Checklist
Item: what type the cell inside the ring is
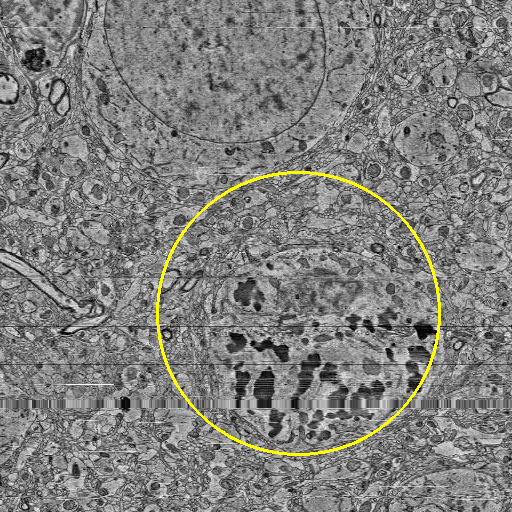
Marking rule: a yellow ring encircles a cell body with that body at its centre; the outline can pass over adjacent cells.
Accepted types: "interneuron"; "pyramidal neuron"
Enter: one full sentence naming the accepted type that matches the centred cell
The entry is that an interneuron lies at the centre of the yellow ring.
